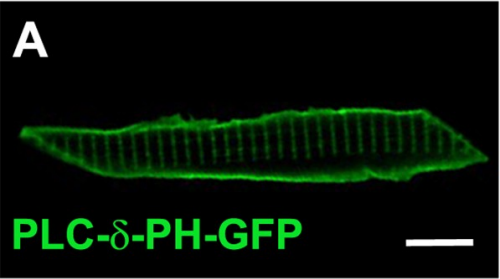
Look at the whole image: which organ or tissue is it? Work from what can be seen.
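A long, narrow cell with tapered ends. Regularly spaced transverse green lines cross the cell along its length. The cell outline is brightly labelled. That points to this answer: skeletal muscle.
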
